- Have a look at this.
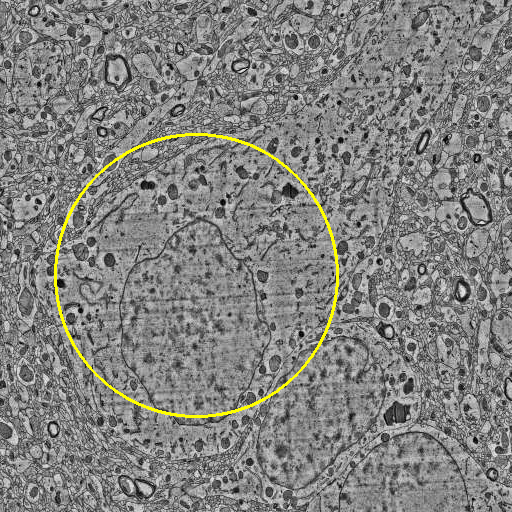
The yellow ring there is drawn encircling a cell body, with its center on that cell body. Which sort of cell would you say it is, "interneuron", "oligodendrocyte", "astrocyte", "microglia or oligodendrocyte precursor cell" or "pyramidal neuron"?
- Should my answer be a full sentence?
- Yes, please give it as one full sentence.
For this picture, a pyramidal neuron is the cell where the yellow ring has its center.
